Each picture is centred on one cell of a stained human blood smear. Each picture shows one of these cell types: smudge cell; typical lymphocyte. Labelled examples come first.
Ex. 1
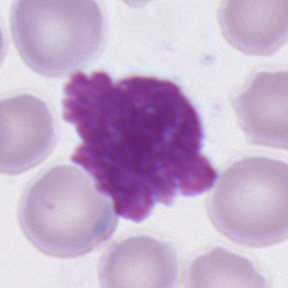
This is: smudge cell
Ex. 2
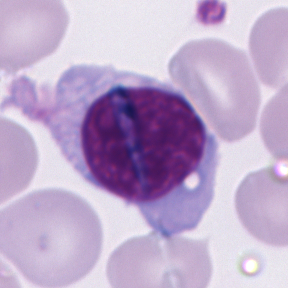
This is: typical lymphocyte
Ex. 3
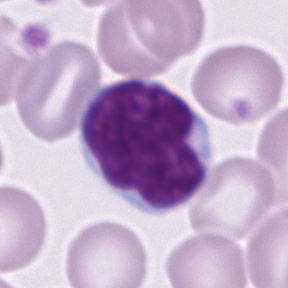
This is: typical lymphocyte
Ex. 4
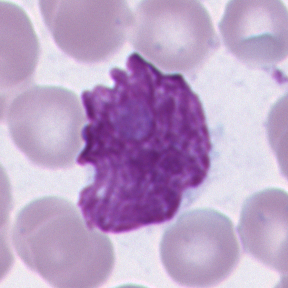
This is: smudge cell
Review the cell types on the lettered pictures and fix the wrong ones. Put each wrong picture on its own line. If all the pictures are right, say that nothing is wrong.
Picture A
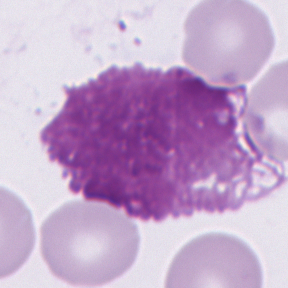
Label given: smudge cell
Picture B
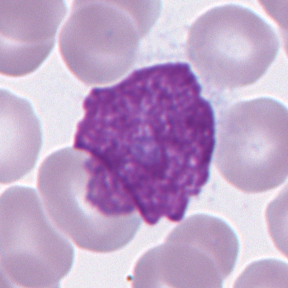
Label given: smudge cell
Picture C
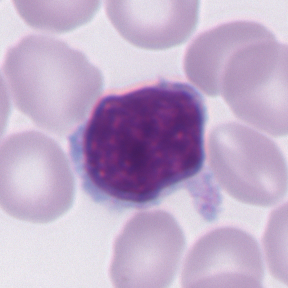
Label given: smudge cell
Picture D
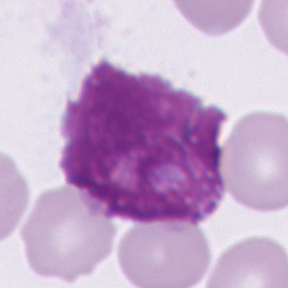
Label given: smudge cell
Wrong: C (smudge cell); correct: typical lymphocyte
